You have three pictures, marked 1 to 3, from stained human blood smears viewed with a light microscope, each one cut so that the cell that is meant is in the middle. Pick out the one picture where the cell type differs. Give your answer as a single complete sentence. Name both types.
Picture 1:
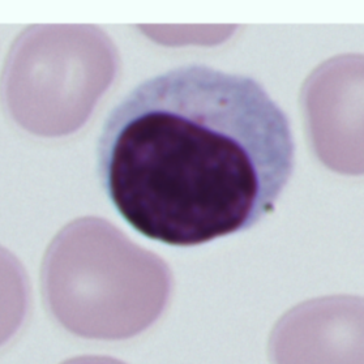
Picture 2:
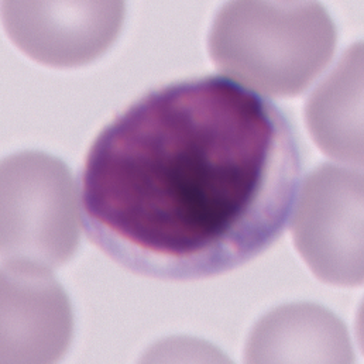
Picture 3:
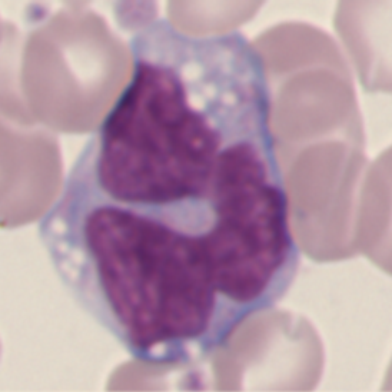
Picture 3 is the odd one out: it shows a monocyte, while the others show large granular lymphocytes.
